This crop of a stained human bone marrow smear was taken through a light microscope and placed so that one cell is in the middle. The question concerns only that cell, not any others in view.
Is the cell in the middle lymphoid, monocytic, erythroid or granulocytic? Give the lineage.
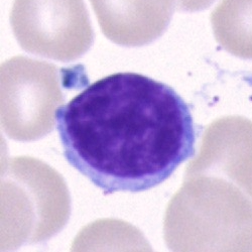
lymphoid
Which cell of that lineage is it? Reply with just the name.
lymphocyte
